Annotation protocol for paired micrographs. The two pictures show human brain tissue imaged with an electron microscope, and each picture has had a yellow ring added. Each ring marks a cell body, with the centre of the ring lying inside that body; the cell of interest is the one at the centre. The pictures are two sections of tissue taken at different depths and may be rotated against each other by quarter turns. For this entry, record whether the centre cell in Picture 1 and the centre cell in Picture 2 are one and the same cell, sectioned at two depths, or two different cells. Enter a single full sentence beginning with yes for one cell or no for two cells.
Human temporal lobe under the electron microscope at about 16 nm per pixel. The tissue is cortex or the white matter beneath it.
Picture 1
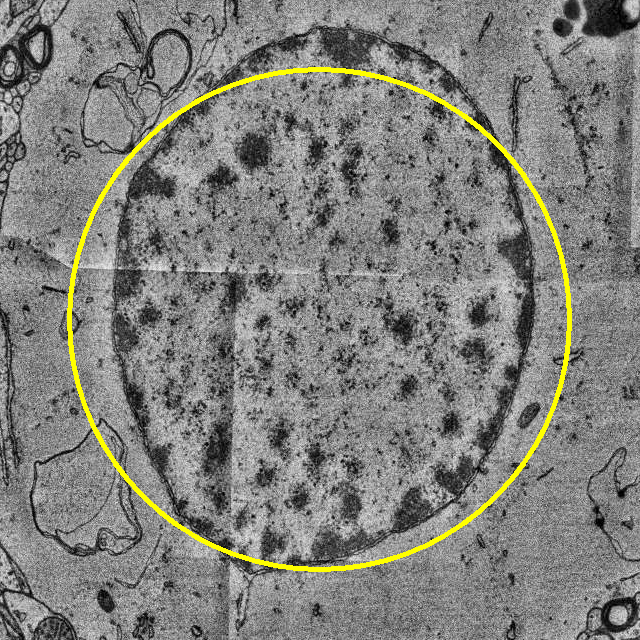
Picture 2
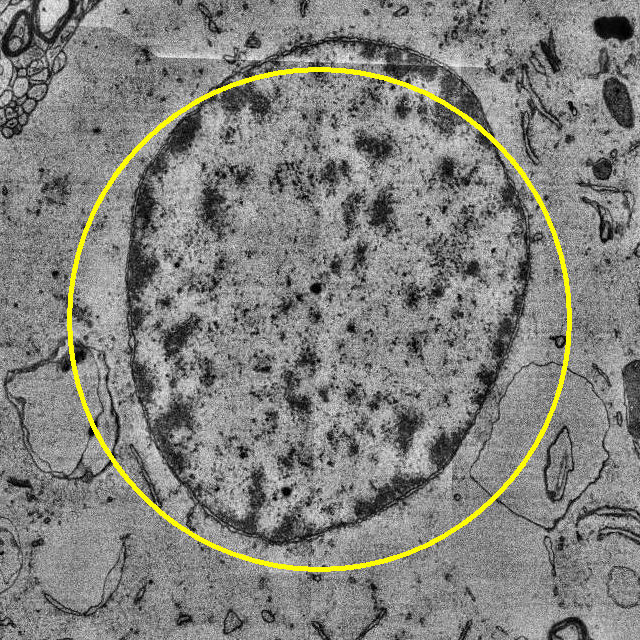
Yes, one cell is ringed in yellow twice over.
